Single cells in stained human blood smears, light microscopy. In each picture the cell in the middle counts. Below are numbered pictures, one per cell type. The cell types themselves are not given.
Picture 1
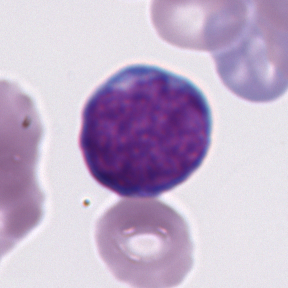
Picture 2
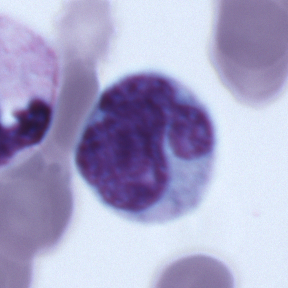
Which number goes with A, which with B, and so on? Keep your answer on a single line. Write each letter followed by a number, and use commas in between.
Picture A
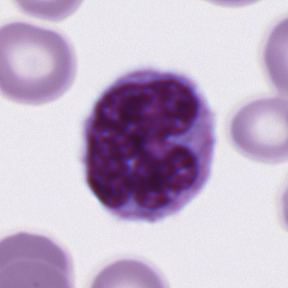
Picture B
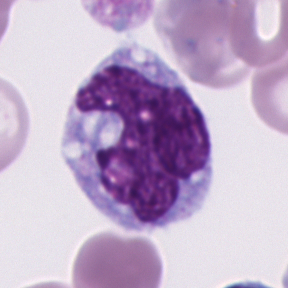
A 2, B 2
